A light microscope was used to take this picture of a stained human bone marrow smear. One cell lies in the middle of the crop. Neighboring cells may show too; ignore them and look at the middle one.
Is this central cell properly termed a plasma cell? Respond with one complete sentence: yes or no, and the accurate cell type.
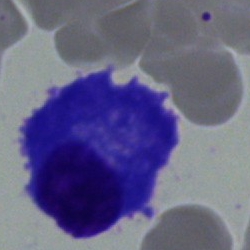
Yes, the centrally placed cell is a plasma cell.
